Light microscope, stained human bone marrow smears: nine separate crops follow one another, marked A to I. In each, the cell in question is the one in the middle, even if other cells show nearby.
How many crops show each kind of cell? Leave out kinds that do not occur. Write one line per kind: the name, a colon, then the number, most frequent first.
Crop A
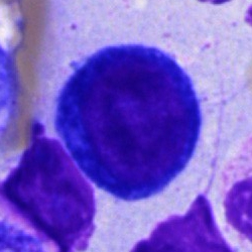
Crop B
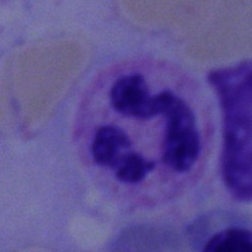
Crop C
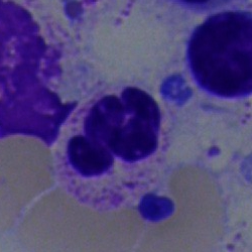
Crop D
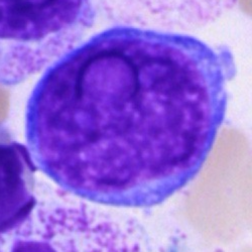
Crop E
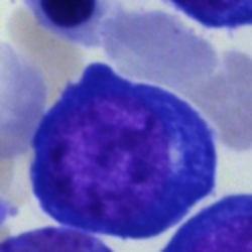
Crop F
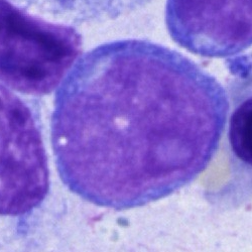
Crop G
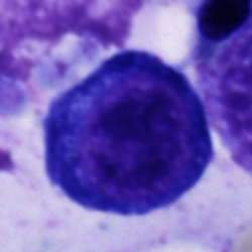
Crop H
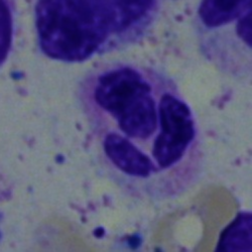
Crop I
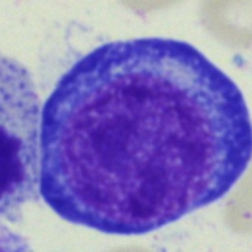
proerythroblast: 6
segmented neutrophil: 3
